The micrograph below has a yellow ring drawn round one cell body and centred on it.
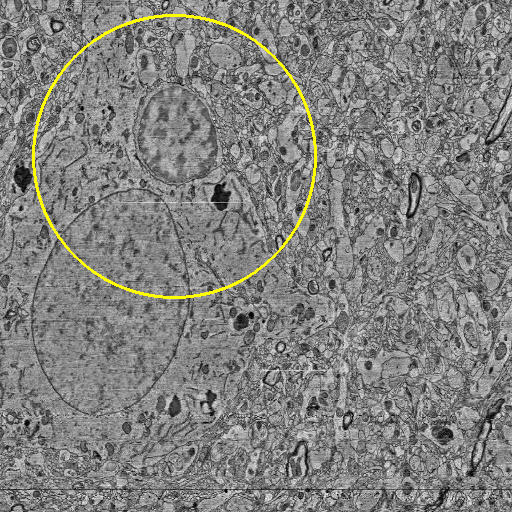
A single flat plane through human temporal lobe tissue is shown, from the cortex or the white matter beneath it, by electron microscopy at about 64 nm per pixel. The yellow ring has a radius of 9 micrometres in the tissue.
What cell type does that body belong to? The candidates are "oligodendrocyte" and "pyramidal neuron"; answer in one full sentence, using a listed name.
This is an oligodendrocyte, the cell whose body lies at the centre of the ring.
